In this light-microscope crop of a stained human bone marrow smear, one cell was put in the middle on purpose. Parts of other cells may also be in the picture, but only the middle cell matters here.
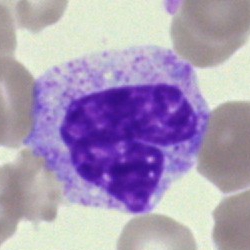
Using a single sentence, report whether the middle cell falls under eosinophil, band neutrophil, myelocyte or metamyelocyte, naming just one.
The cell featured at the centre of this crop is a band neutrophil.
